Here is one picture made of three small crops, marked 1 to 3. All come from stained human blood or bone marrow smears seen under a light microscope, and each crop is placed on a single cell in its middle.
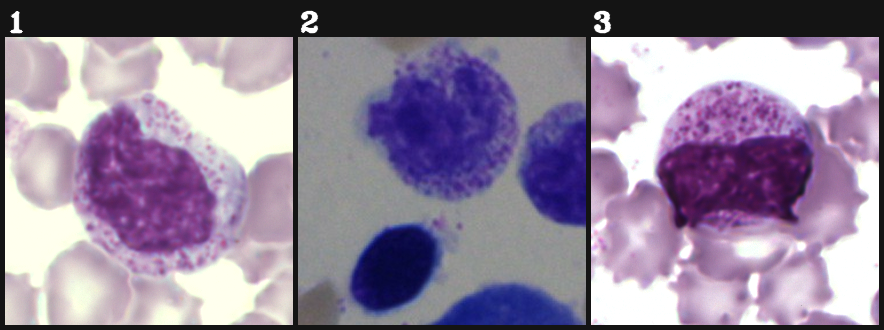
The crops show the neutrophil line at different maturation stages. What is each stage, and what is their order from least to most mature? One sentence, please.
From least to most mature, the sequence is given by crop 1 (a myelocyte), crop 3 (a metamyelocyte) and crop 2 (a band neutrophil).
